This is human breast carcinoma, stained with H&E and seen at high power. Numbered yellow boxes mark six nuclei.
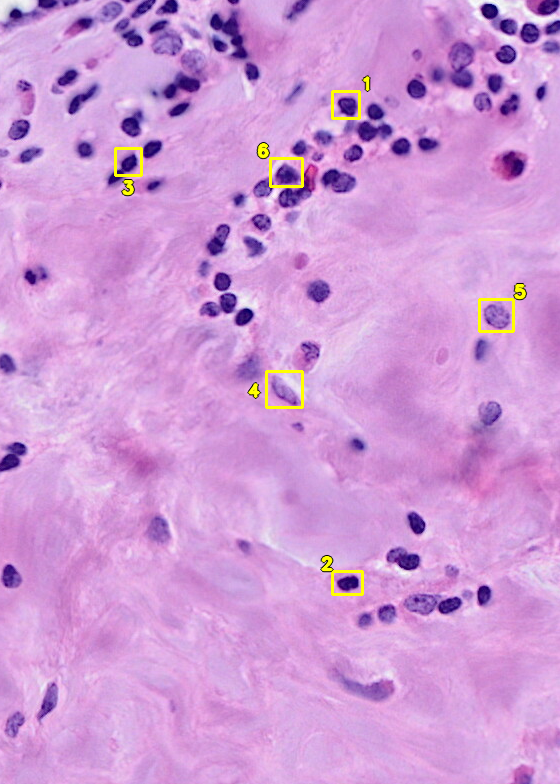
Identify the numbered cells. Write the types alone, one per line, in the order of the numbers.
lymphocyte
lymphocyte
lymphocyte
fibroblast
macrophage, monocyte or dendritic cell
lymphocyte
